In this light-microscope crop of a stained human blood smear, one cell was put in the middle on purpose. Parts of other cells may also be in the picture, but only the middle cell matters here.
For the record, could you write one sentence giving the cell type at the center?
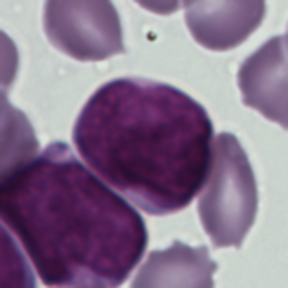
The crop's centre is taken up by a myeloblast.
